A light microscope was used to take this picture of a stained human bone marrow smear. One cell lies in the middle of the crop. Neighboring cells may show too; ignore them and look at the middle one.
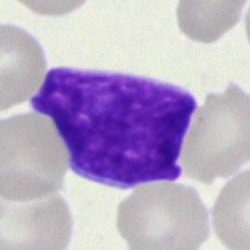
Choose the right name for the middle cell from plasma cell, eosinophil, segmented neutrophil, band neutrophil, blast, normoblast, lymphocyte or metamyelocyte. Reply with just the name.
blast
